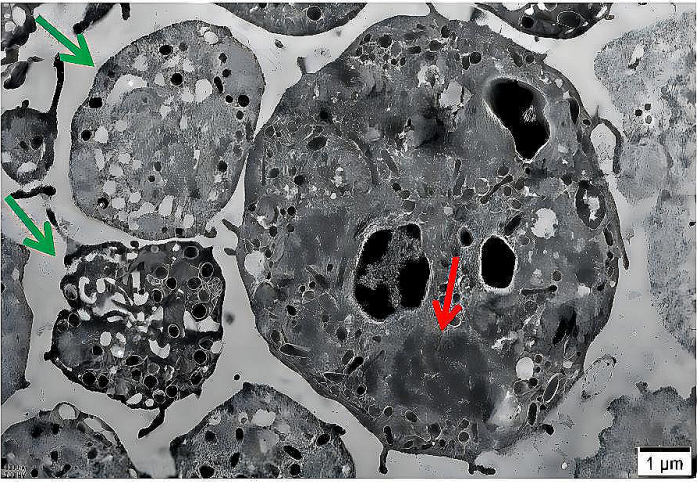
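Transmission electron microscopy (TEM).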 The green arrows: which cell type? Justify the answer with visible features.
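The arrowed profiles are rounded and have no nucleus. Their cytoplasm is packed with many small round granules and vacuoles. They are smaller than the neighbouring nucleated cell. So: Large platelets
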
